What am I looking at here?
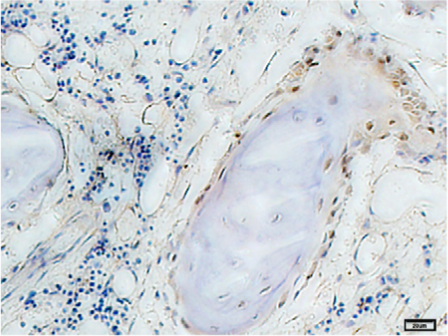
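Small lacunae within the matrix hold flattened cells, some of which are brown. Along the margin of the trabecula lies a row of cells with brown-stained cytoplasm and nuclei. The surrounding marrow holds many small round cells with dark blue nuclei, densely clustered to the left. Empty round spaces of fat cells and thin fibrous strands fill much of the remaining field.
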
